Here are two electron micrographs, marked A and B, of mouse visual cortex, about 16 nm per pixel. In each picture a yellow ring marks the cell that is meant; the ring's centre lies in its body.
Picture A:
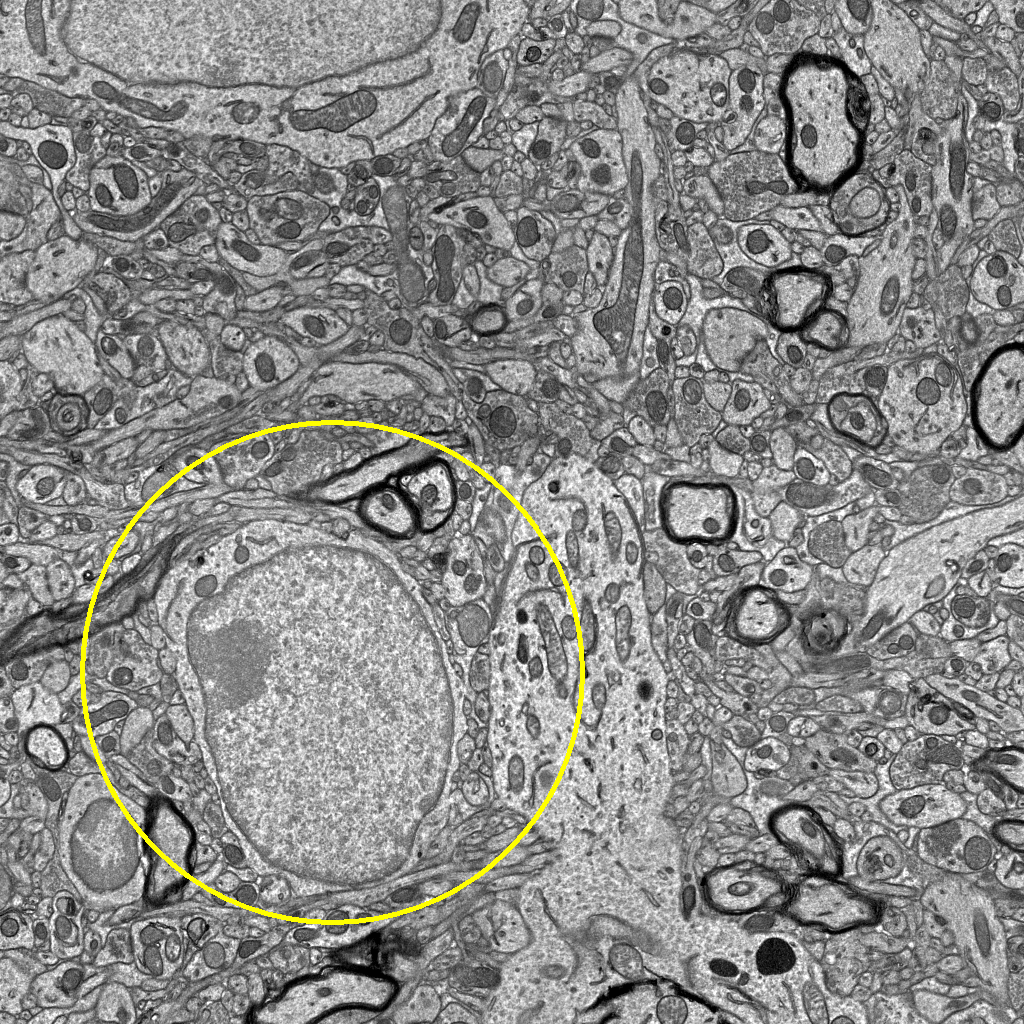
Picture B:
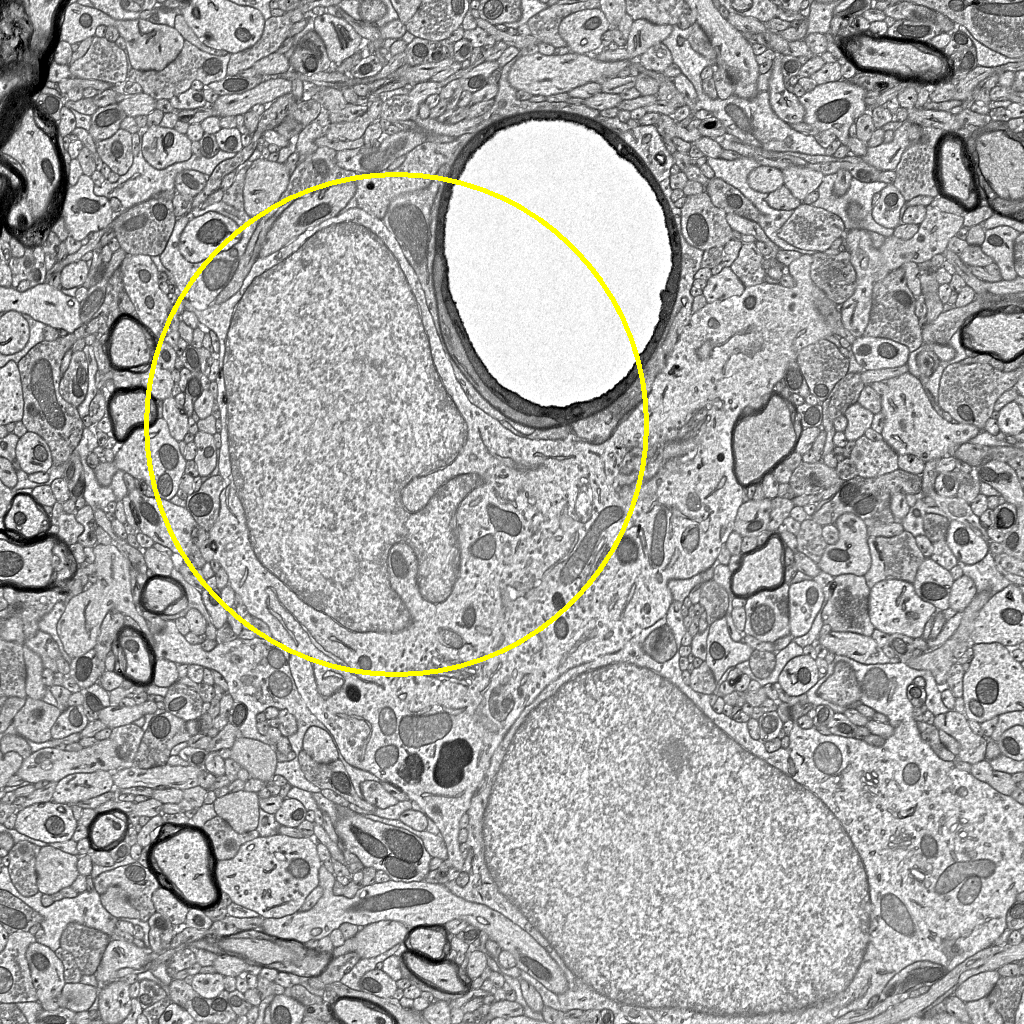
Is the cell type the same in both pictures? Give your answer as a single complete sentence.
Yes, the two pictures both show oligodendrocyte precursor cells.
